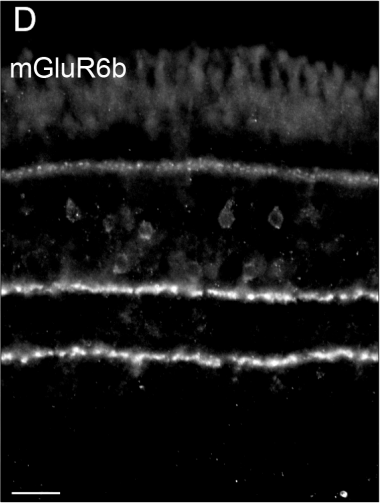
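The labeling gathers into three sharp horizontal bands: a thin one in the outer plexiform layer just beneath the photoreceptor nuclei, and two parallel bands lower down in the inner plexiform layer. Between them lies the inner nuclear layer, where a few rounded cell bodies are faintly outlined.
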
